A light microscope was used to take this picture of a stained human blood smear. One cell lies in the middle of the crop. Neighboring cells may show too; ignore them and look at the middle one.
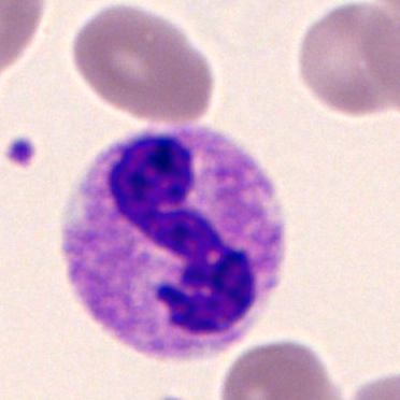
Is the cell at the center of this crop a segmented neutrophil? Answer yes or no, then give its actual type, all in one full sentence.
Yes, the cell here in the middle is a segmented neutrophil.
